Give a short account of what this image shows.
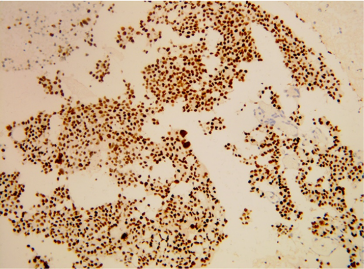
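Nearly every nucleus in the cell clusters is a solid, dark brown, while the cytoplasm around it stays pale. The nuclei are small, round and closely crowded, arranged in sheets and clumps. A few scattered nuclei are larger and more intensely stained than their neighbours.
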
